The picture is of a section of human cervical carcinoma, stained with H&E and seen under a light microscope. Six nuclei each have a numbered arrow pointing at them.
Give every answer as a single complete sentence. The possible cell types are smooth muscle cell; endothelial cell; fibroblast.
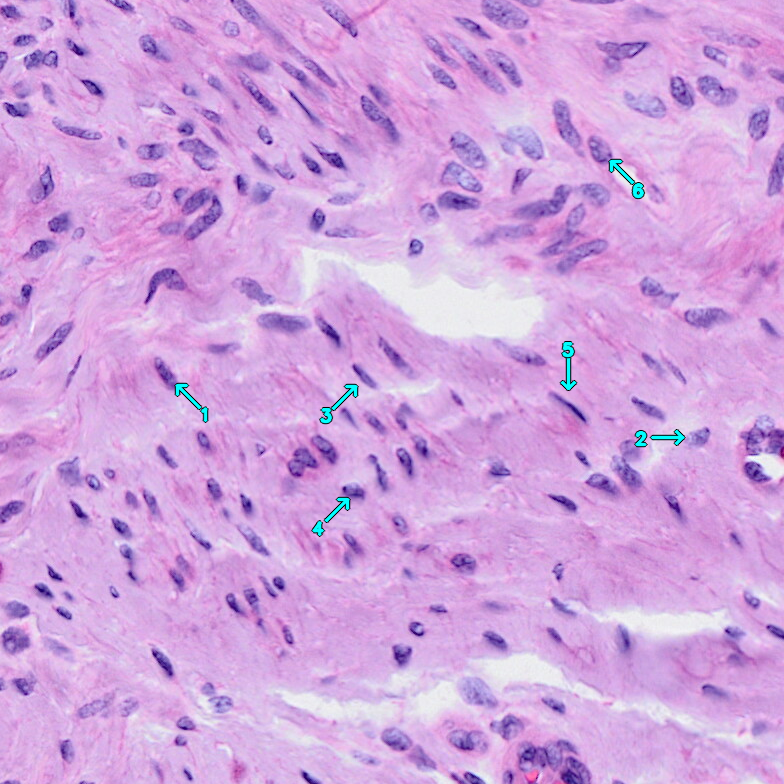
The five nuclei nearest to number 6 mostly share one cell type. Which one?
Fibroblasts account for more than half of the five nuclei nearest to number 6.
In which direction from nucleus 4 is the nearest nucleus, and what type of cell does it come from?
The nearest one is a fibroblast, found above and to the right of nucleus 4.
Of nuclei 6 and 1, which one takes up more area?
The larger nucleus is 6, at roughly 2 times the area of 1.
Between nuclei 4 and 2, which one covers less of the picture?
With nucleus 2 about 1.5 times its size, nucleus 4 is the smaller of the two.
